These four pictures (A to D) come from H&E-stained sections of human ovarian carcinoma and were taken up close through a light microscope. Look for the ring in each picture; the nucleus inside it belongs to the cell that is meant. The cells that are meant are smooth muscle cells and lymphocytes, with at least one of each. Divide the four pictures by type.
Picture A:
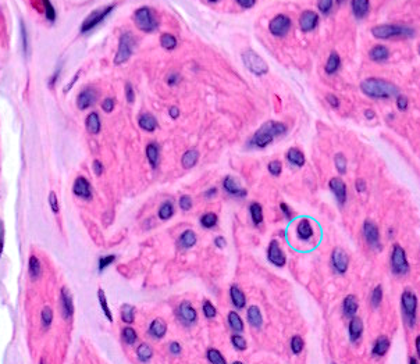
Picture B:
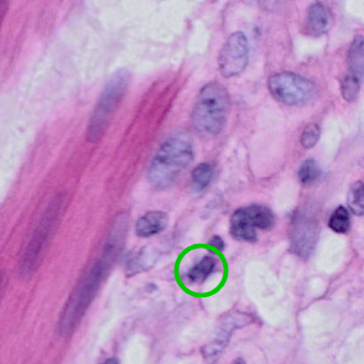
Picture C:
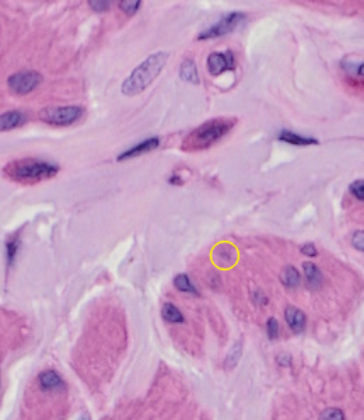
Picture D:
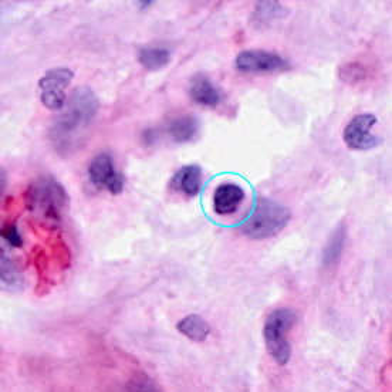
A: smooth muscle cell
B: lymphocyte
C: smooth muscle cell
D: lymphocyte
